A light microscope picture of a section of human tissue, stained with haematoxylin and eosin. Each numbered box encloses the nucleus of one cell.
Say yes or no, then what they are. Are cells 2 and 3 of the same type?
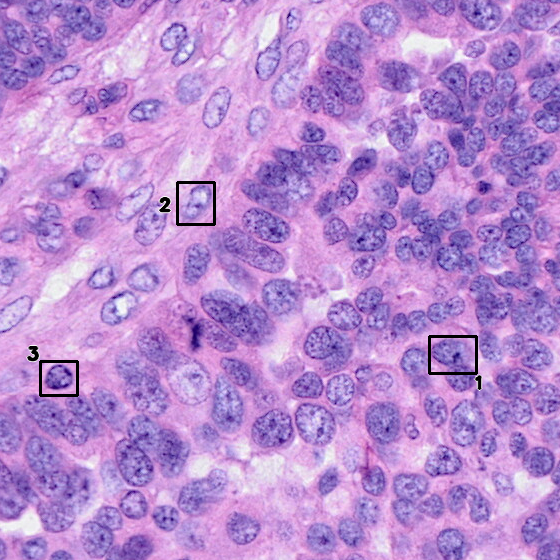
No, cell 2 is a fibroblast and cell 3 is a macrophage or monocyte.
